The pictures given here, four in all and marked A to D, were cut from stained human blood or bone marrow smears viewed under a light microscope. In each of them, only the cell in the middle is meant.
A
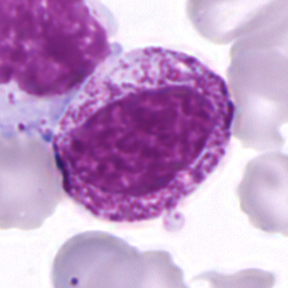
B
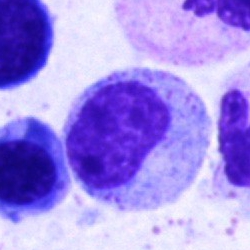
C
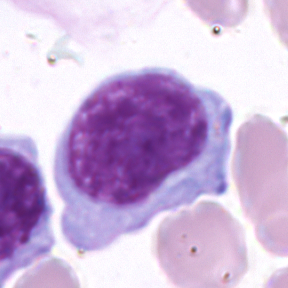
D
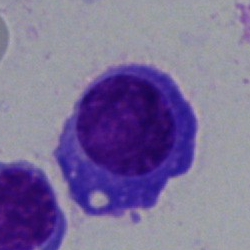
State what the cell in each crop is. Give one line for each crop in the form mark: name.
A: myelocyte
B: myelocyte
C: plasma cell
D: plasma cell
